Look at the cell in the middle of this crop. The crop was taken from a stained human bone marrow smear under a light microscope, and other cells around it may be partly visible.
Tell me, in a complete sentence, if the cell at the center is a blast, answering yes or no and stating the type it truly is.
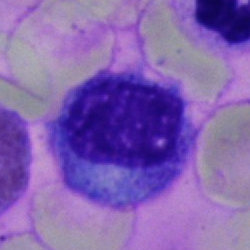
No, what is seen at the centre is a myelocyte instead of a blast.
